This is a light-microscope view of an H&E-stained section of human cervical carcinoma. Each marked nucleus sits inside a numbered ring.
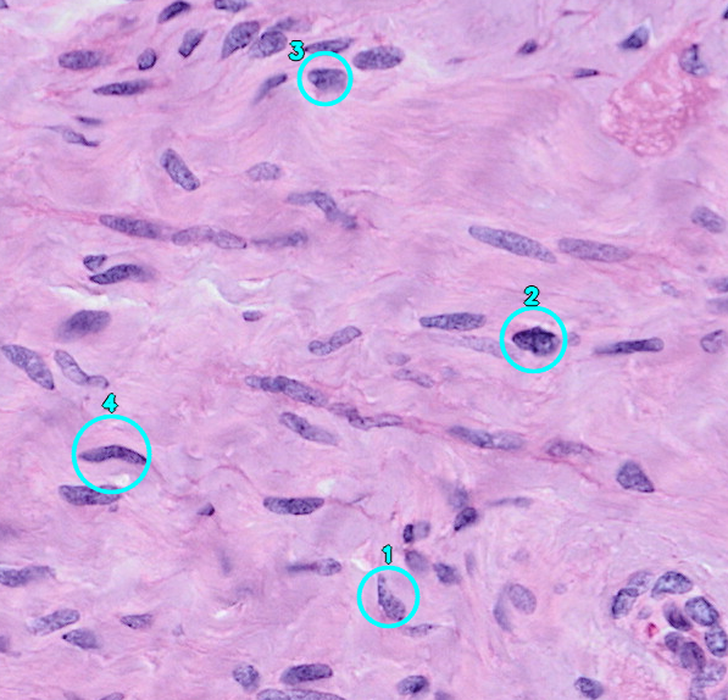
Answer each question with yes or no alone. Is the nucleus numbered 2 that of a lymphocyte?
yes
